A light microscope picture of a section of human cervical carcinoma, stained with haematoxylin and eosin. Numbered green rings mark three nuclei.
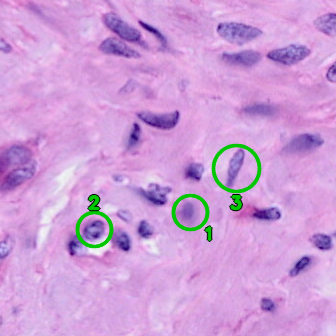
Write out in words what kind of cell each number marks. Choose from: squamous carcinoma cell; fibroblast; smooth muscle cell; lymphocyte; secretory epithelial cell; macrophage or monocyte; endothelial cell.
Cell 1 is a fibroblast, cell 2 is an endothelial cell and cell 3 is a fibroblast.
